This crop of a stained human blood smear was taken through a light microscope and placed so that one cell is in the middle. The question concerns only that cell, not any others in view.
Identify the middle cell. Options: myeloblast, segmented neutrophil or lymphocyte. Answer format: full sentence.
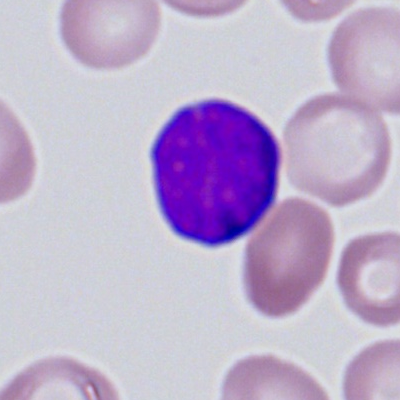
The central cell shown in this smear crop is a myeloblast.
